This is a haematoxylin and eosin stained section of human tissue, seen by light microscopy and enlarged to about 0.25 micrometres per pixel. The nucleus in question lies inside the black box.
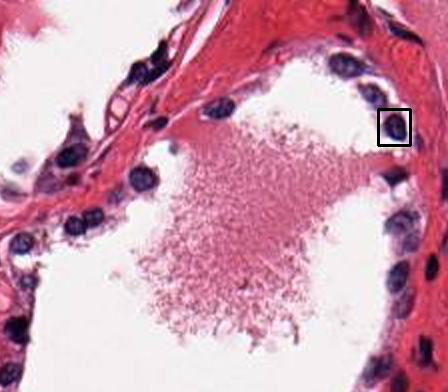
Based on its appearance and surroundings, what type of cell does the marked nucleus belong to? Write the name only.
thyroid follicular cell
